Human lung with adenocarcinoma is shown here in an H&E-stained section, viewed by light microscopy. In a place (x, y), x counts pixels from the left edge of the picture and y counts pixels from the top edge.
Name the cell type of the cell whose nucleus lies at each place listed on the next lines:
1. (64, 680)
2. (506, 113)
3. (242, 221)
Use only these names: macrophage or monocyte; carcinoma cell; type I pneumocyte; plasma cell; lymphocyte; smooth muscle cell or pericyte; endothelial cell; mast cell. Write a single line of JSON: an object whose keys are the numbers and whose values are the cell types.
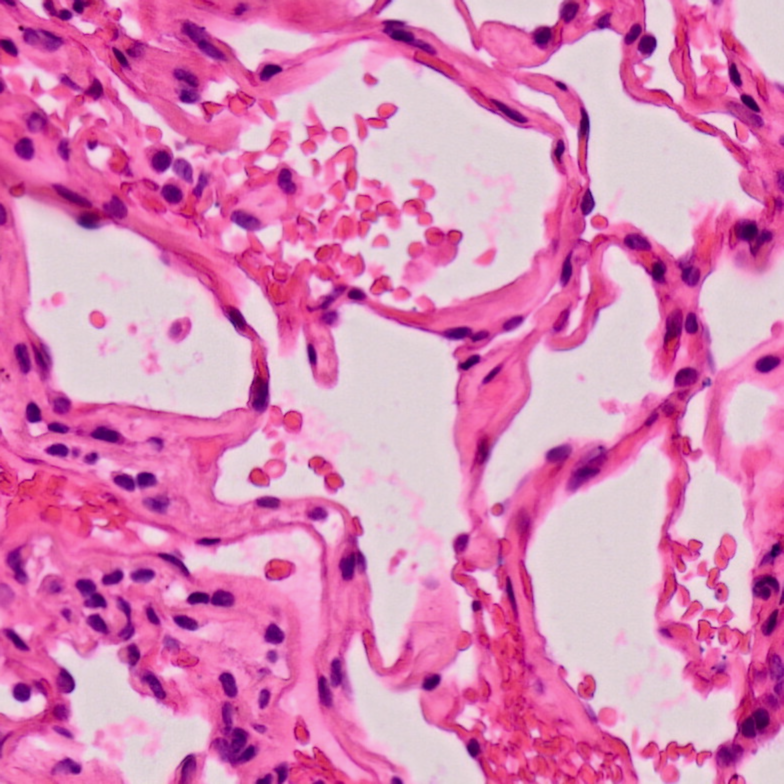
{"1": "type I pneumocyte", "2": "endothelial cell", "3": "type I pneumocyte"}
